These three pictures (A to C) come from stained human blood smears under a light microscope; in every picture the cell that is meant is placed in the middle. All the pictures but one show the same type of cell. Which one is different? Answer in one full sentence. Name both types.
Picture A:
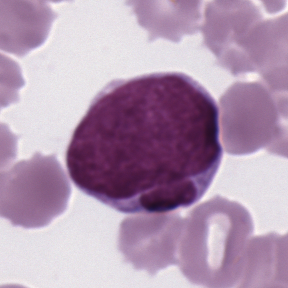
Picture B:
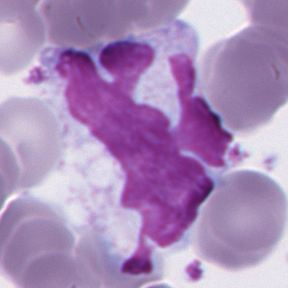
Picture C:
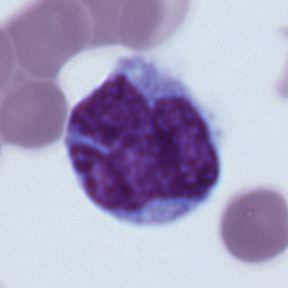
Unlike the rest, which show monocytes, picture A shows a myeloblast.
